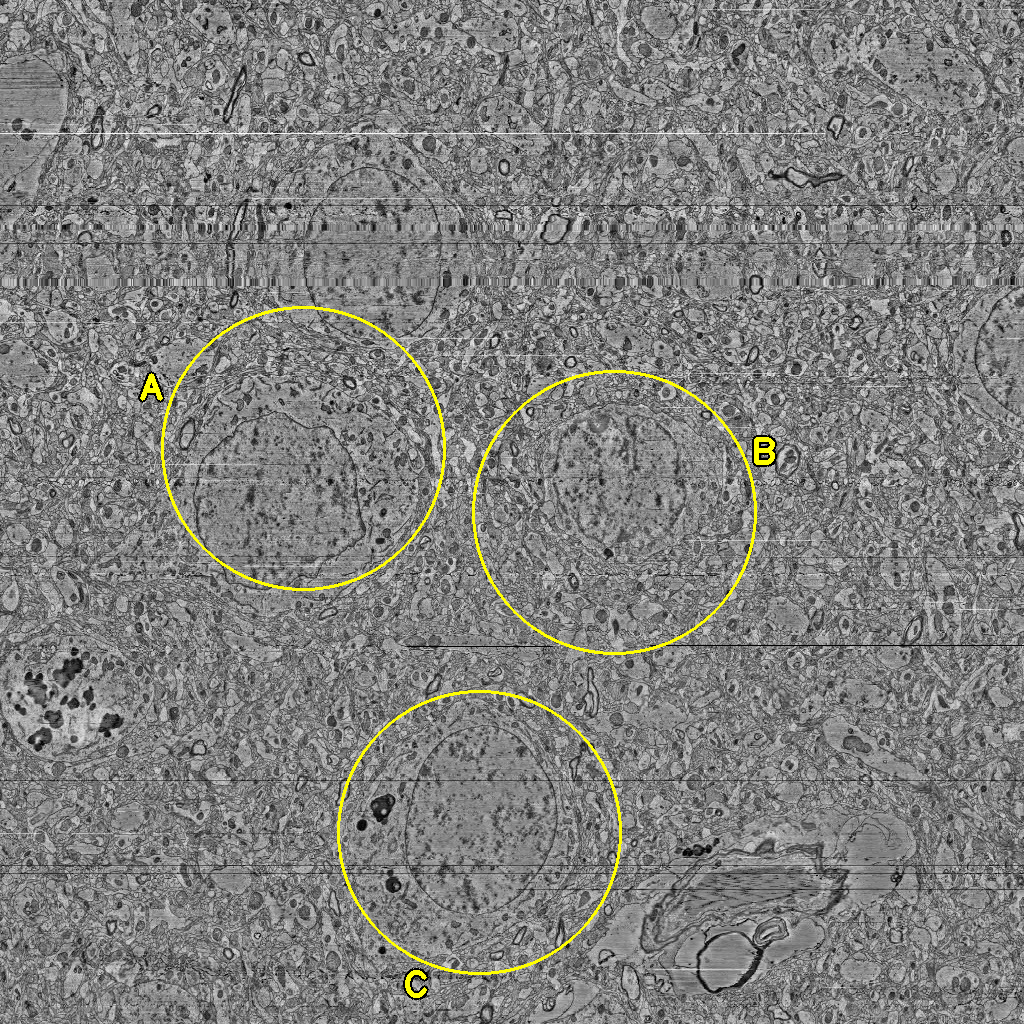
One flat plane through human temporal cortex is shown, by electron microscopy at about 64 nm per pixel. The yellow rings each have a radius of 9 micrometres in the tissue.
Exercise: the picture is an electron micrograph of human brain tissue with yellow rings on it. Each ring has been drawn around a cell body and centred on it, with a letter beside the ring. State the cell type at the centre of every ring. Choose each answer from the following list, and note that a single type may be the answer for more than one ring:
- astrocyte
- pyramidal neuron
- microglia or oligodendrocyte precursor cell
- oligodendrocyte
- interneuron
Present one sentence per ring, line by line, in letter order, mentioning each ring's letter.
Ring A shows a pyramidal neuron at its centre.
Ring B shows an interneuron at its centre.
Ring C shows a pyramidal neuron at its centre.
